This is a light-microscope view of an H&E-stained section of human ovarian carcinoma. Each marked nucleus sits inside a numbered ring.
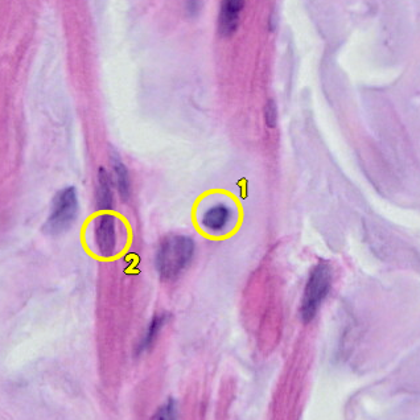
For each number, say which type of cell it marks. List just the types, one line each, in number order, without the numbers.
lymphocyte
smooth muscle cell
